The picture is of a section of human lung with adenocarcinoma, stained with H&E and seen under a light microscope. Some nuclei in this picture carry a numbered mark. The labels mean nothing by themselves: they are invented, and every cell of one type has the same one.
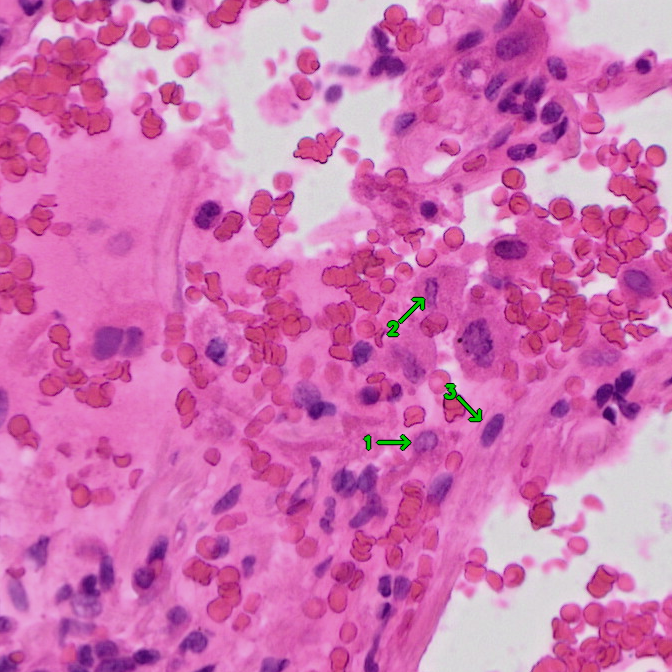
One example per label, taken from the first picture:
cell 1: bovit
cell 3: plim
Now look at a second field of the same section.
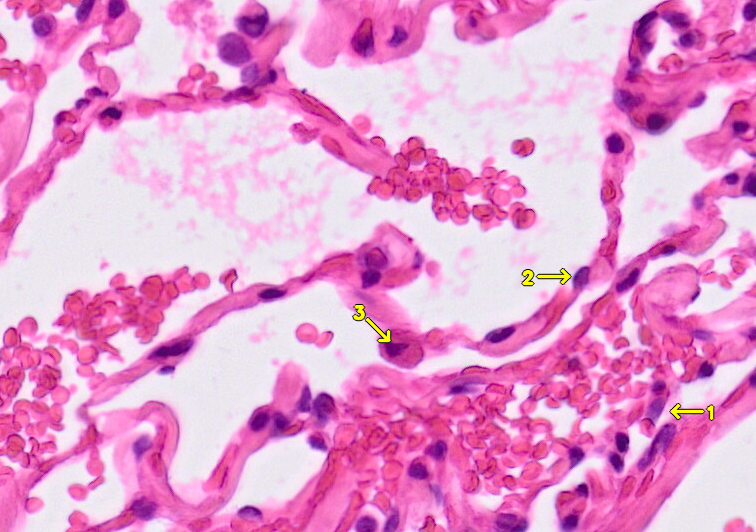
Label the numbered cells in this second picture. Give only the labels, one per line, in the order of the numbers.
plim
plim
bovit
